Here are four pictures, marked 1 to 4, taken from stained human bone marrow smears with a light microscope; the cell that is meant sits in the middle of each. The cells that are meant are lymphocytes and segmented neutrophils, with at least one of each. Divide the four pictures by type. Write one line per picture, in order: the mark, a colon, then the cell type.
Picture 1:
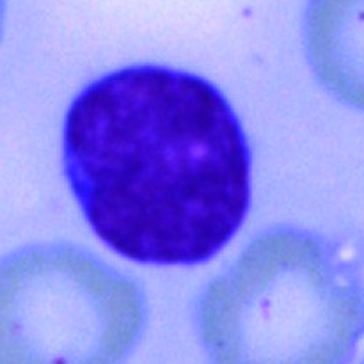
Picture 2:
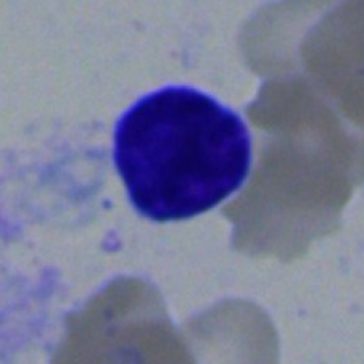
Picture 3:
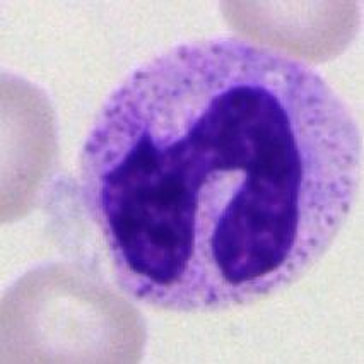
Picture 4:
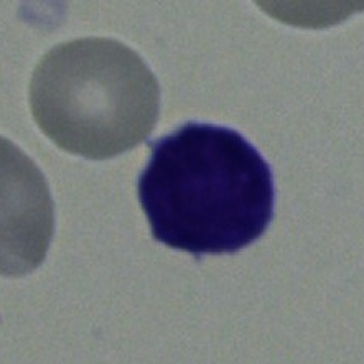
1: lymphocyte
2: lymphocyte
3: segmented neutrophil
4: lymphocyte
